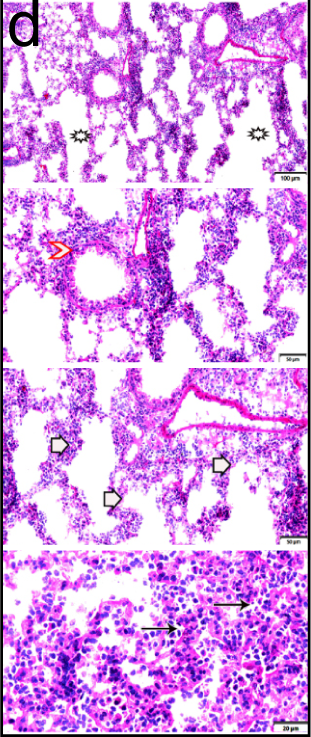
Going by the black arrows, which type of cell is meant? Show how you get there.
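Inflammatory cells. The bottom image is filled with densely packed small cells with dark purple nuclei.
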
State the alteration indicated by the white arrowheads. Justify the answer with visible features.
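Thick inter-alveolar septa. The walls between air spaces are broad and crowded with nuclei.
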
